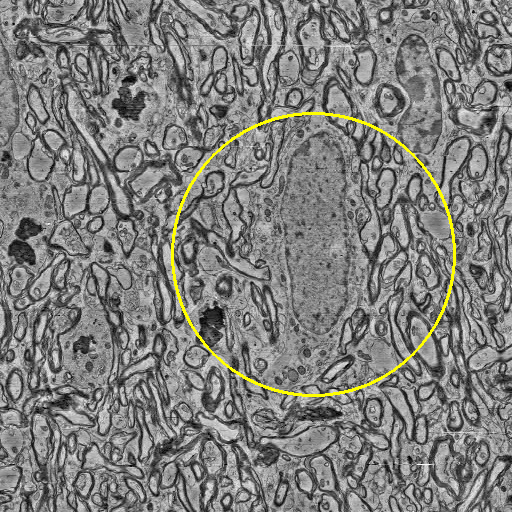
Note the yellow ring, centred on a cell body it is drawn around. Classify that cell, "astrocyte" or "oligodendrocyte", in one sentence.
The cell the ring is centred on is an astrocyte.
